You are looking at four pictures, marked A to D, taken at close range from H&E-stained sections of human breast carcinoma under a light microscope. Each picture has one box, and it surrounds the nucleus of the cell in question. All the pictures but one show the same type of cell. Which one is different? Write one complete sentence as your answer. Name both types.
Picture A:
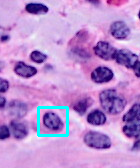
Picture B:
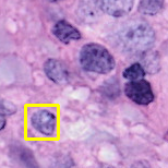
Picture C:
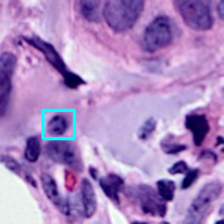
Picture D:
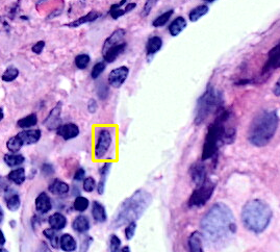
Unlike the rest, which show mast cells, picture B shows a “macrophage, monocyte or dendritic cell”.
